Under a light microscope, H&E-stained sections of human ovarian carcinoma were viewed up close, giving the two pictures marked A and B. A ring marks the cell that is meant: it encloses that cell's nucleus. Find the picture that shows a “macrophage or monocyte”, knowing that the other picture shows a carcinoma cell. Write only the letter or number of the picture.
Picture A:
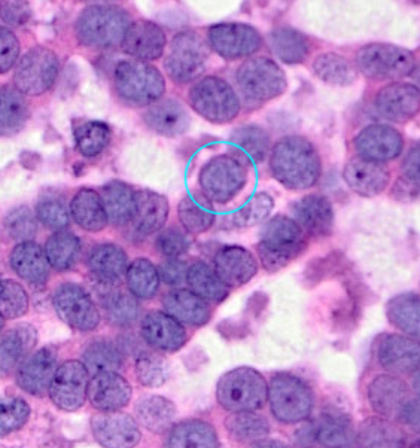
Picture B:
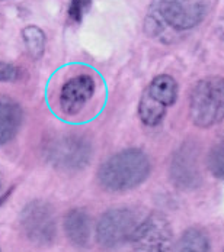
B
